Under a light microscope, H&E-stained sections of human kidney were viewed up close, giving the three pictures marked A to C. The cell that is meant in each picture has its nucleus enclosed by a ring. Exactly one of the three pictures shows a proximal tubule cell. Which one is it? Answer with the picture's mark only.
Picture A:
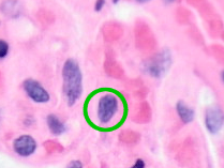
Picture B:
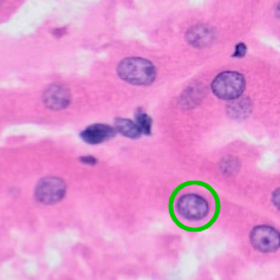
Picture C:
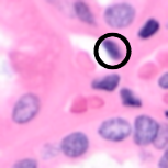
B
